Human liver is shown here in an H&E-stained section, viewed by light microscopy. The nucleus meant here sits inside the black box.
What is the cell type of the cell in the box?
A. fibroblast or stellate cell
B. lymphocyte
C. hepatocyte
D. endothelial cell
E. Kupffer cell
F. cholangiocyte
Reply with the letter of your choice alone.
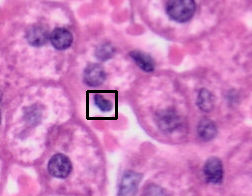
B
